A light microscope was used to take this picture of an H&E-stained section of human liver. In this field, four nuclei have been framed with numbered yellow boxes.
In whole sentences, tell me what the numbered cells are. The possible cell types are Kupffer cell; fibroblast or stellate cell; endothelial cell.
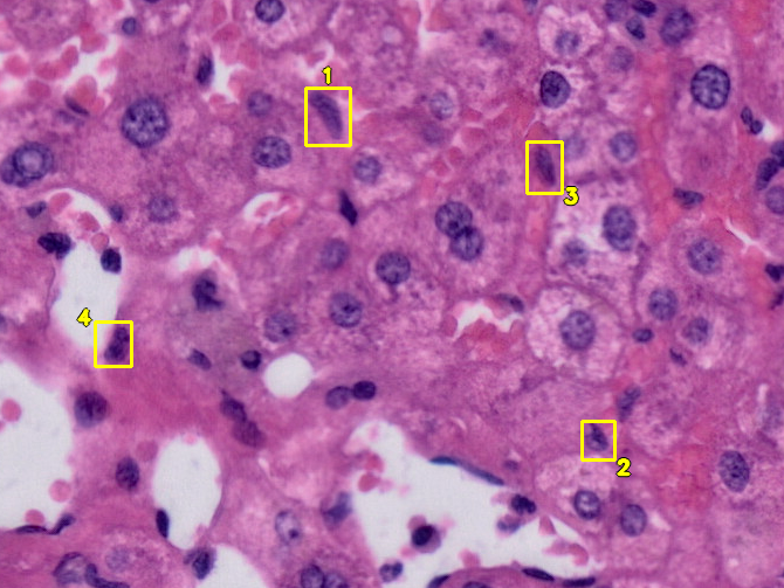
Cell 1 is a Kupffer cell, cell 2 is an endothelial cell, cell 3 is an endothelial cell and cell 4 is a fibroblast or stellate cell.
